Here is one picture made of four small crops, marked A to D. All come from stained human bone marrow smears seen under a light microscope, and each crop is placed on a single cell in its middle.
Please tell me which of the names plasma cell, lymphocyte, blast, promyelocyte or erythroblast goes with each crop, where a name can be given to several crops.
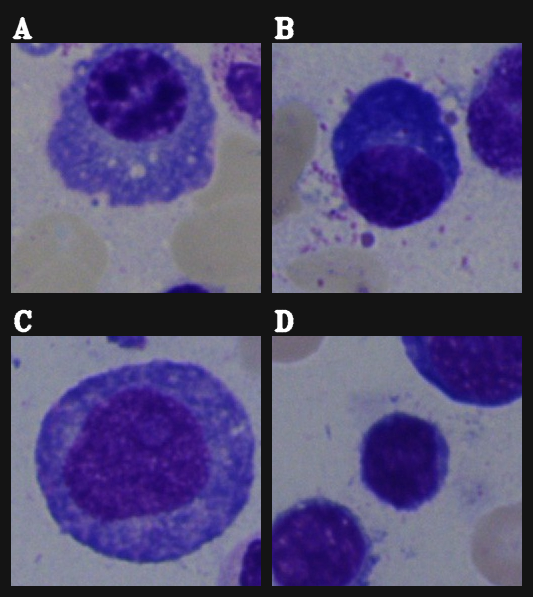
A: plasma cell
B: plasma cell
C: promyelocyte
D: lymphocyte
